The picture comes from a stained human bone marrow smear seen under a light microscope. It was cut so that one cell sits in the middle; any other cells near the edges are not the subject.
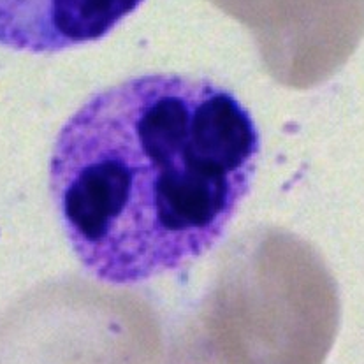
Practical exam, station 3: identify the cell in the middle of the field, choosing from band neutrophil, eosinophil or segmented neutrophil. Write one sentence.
The cell at the middle of the crop is recognized as a segmented neutrophil.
